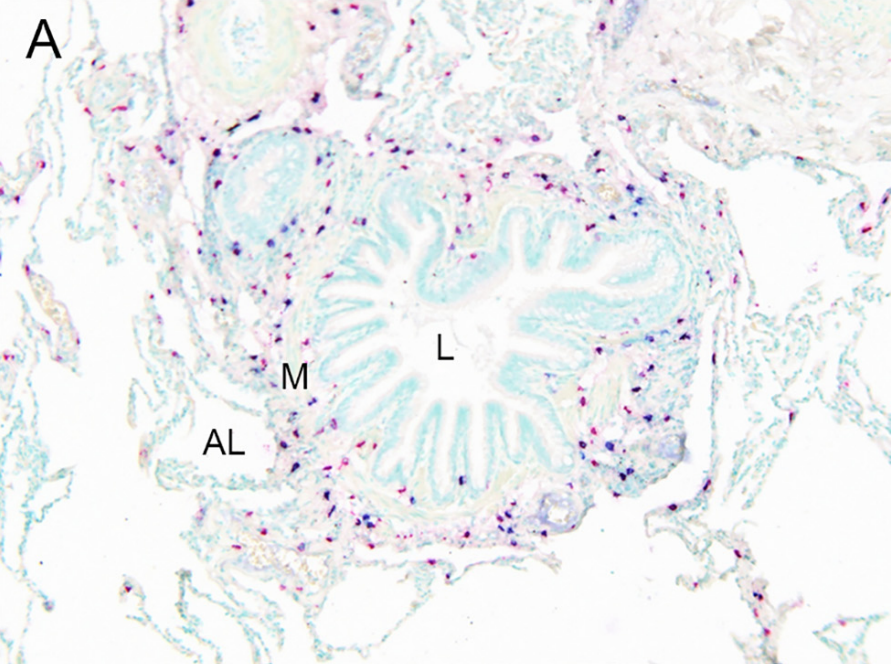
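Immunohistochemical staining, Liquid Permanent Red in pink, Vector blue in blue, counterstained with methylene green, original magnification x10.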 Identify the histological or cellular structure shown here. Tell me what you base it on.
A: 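Small airway. A central lumen lined by a deeply folded epithelium. The tube is surrounded by a wall and thin-walled alveolar spaces.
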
